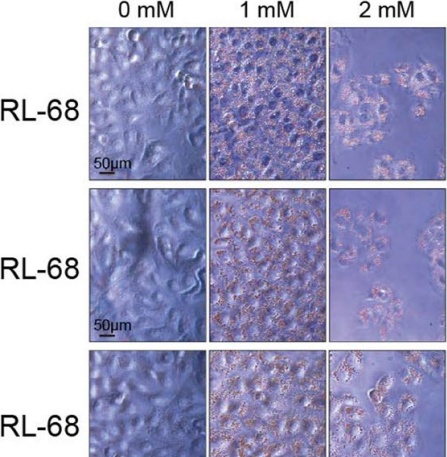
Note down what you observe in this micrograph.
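In the leftmost column the cells are flat, spread and polygonal, with pale cytoplasm and no red dots. In the next column the cells are densely packed, and each cytoplasm is crowded with fine red droplets around the nucleus. Further right the cells are sparser and form rounded clusters, still holding red droplets, with bare blue-grey background between them.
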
